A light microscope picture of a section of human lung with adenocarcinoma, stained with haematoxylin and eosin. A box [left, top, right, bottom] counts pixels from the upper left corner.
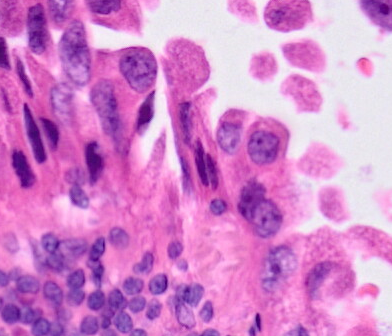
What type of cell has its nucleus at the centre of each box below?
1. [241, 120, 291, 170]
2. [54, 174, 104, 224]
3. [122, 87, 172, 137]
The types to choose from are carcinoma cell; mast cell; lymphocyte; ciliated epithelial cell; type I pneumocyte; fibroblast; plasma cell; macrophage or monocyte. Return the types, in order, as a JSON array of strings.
["carcinoma cell", "lymphocyte", "carcinoma cell"]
